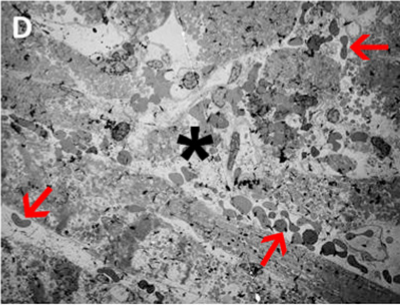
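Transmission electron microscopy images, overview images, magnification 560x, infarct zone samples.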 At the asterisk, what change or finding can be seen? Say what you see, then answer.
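The orderly parallel arrangement of fibres is lost around the asterisk. The area is filled with pale, disorganised material and scattered debris. The answer: Massive tissue damage.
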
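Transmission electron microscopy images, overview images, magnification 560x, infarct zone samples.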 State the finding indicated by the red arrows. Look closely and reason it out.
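Extravasation of erythrocytes. Small dark, rounded or biconcave bodies without nuclei lie at the arrows. These bodies lie scattered in the tissue, not confined within a vessel lumen.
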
